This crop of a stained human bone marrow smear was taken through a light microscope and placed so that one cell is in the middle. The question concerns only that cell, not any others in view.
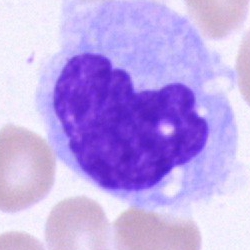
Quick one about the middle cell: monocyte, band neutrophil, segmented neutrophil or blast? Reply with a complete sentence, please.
The cell around which this crop is centred is a monocyte.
